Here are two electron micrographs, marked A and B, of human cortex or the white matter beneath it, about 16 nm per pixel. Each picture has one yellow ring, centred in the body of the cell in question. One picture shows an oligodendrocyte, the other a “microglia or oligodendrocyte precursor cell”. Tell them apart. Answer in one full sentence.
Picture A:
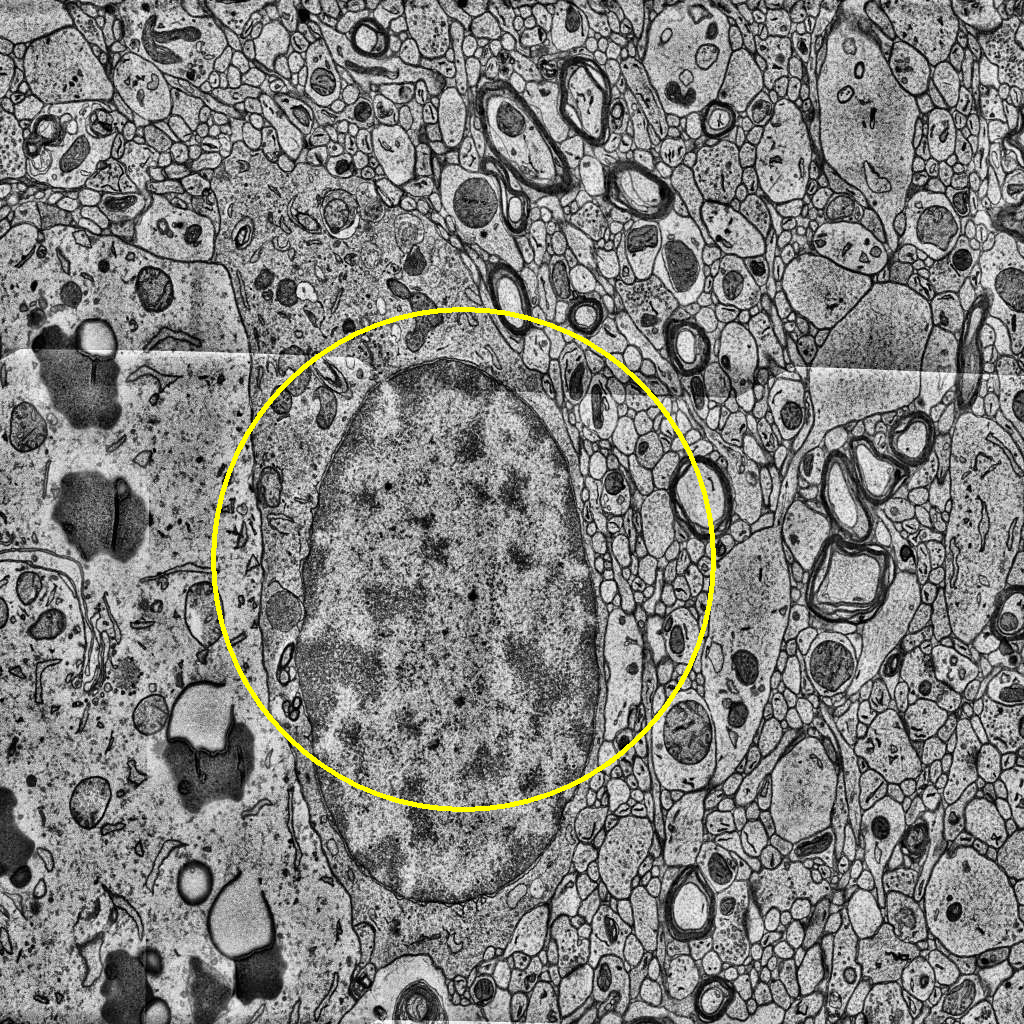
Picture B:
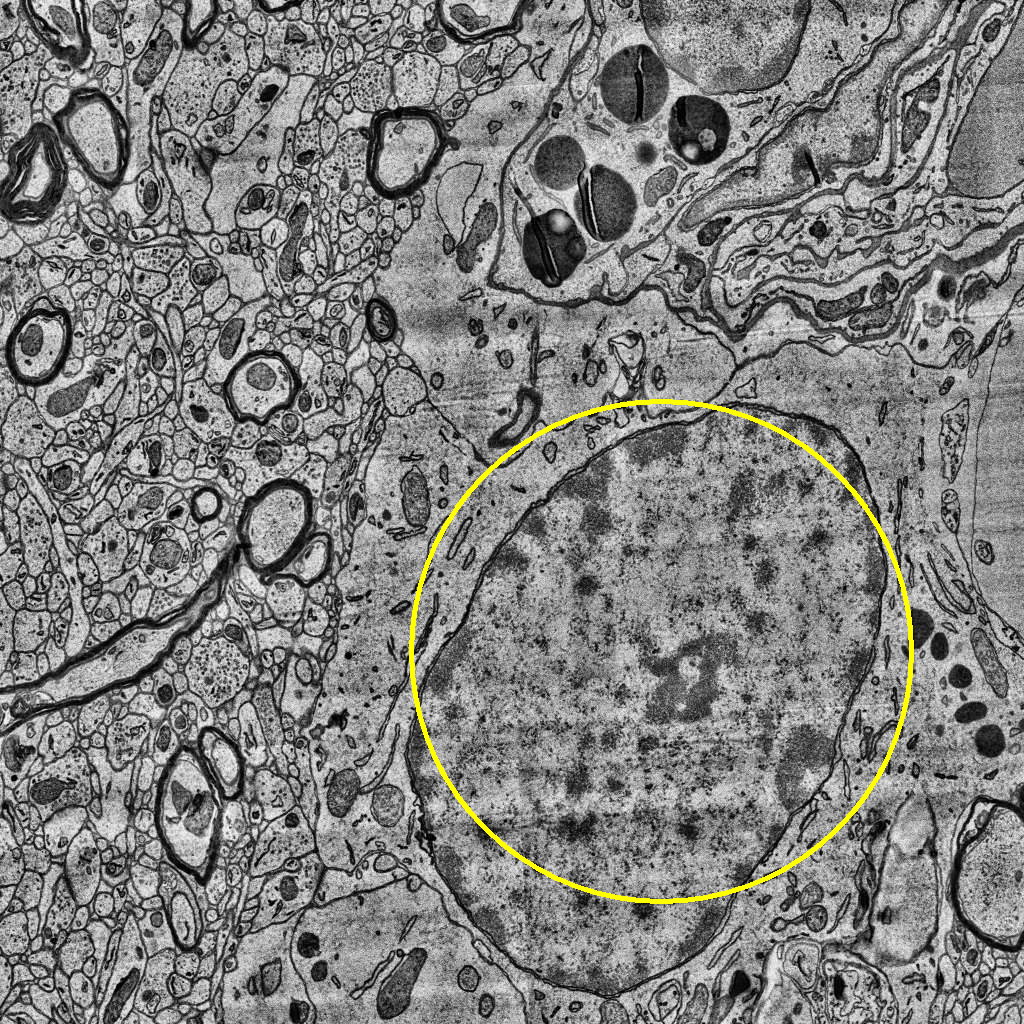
Picture B shows a “microglia or oligodendrocyte precursor cell”, while picture A shows an oligodendrocyte.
